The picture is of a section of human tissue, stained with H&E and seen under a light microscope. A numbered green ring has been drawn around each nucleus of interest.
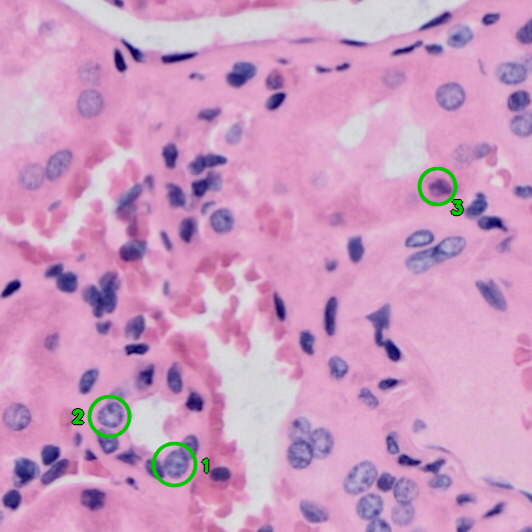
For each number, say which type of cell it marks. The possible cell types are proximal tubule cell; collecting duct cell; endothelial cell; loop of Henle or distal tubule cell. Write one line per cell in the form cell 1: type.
cell 1: collecting duct cell
cell 2: collecting duct cell
cell 3: proximal tubule cell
